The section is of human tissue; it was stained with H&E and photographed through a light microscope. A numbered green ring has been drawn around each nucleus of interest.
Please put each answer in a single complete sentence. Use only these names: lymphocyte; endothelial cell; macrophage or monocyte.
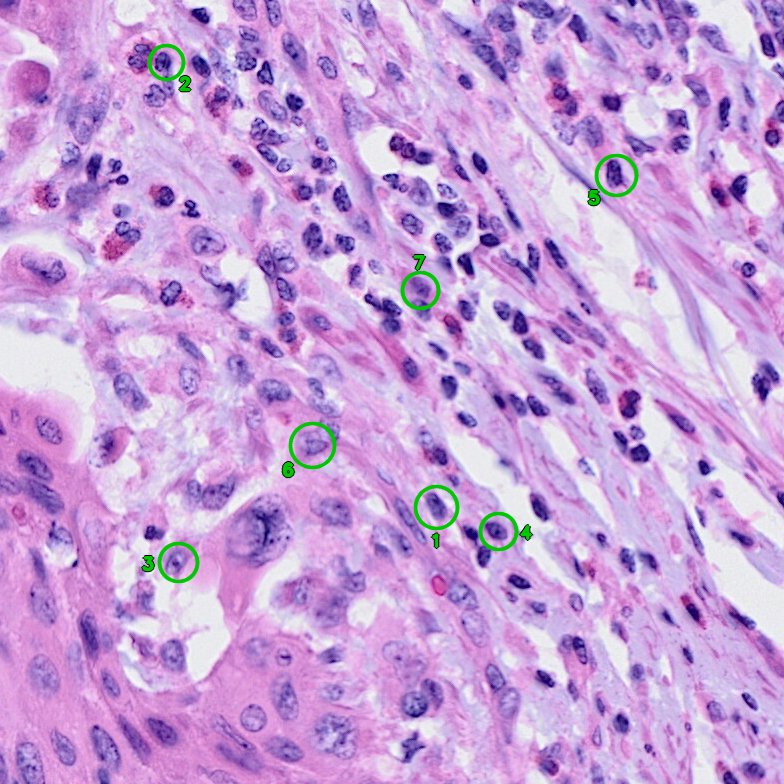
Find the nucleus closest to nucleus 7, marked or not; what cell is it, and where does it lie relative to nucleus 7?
A lymphocyte lies closest, below nucleus 7.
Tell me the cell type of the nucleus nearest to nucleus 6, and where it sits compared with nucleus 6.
An endothelial cell lies closest, above and to the right of nucleus 6.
